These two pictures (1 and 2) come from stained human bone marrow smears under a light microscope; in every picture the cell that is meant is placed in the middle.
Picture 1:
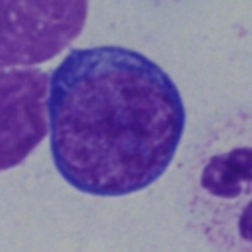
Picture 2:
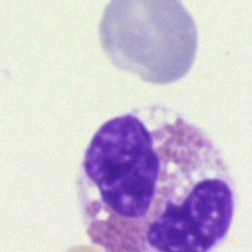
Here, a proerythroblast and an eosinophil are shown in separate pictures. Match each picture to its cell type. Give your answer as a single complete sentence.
It is picture 1 that shows a proerythroblast, and picture 2 that shows an eosinophil.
